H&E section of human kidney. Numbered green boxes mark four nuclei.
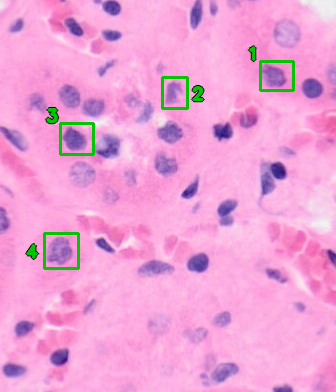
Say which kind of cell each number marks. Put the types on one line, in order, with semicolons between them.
proximal tubule cell; loop of Henle or distal tubule cell; loop of Henle or distal tubule cell; proximal tubule cell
